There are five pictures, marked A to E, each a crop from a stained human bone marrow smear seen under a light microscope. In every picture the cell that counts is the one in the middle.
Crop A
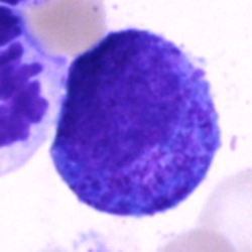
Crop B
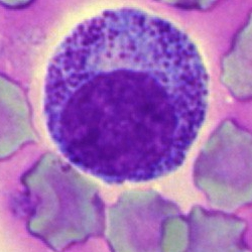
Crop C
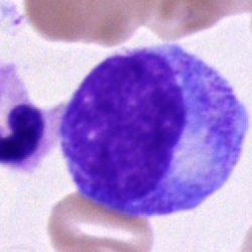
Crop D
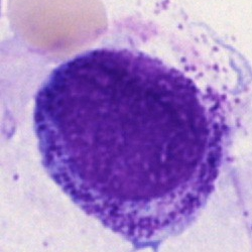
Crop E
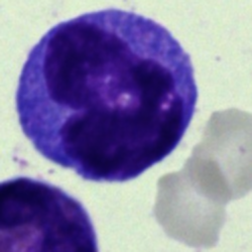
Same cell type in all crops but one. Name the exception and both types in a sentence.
Whereas the other crops all show promyelocytes, crop E shows a monocyte.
